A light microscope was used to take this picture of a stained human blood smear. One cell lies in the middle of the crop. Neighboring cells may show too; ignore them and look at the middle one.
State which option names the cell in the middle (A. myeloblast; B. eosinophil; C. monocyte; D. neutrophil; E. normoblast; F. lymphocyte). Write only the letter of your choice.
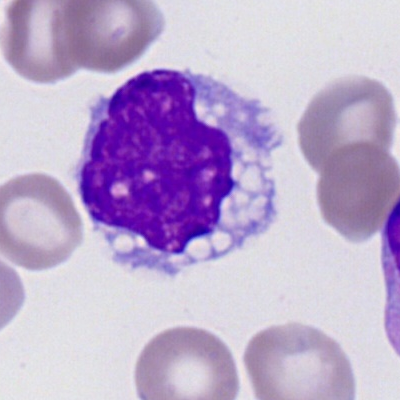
C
